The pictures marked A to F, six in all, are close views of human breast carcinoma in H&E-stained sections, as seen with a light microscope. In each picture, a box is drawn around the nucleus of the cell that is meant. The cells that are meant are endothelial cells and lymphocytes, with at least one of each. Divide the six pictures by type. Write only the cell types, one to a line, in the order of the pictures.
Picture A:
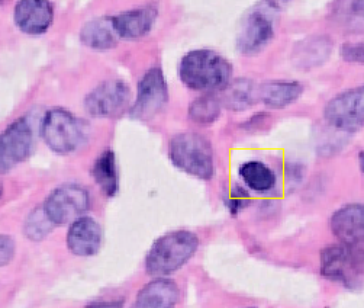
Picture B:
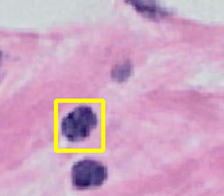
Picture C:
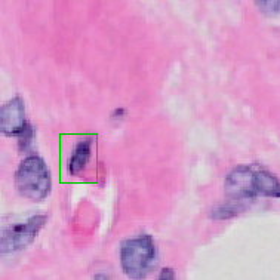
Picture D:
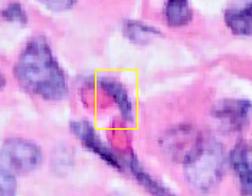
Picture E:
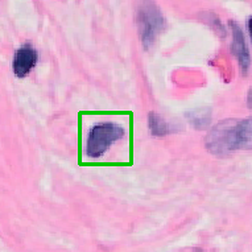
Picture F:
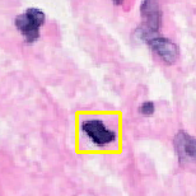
lymphocyte
lymphocyte
endothelial cell
endothelial cell
lymphocyte
lymphocyte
